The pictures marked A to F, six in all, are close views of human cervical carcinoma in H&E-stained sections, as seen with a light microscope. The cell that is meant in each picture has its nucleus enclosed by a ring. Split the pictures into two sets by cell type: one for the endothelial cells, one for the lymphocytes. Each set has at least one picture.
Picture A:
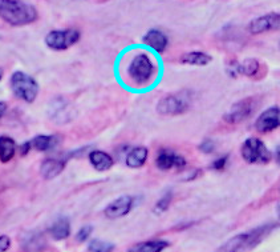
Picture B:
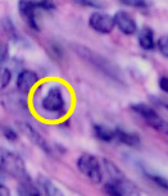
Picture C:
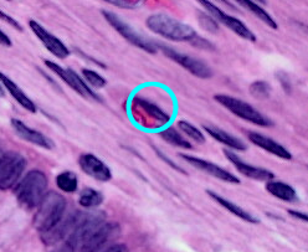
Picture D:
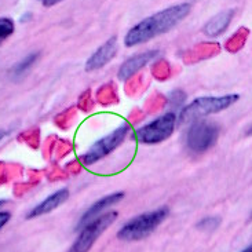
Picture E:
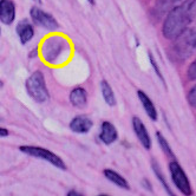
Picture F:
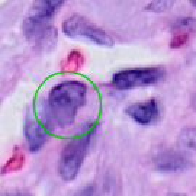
A: lymphocyte
B: lymphocyte
C: endothelial cell
D: endothelial cell
E: endothelial cell
F: endothelial cell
